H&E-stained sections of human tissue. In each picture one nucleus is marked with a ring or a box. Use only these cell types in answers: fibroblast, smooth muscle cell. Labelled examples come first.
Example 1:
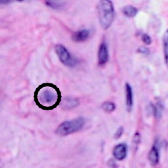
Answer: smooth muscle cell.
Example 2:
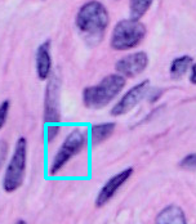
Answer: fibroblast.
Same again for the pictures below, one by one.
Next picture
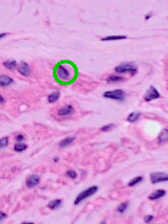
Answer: smooth muscle cell.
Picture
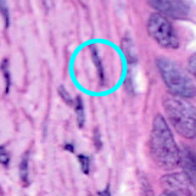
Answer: fibroblast.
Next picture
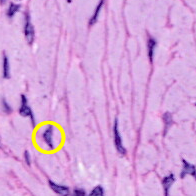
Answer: fibroblast.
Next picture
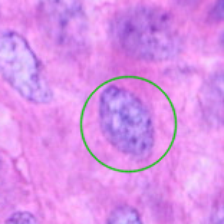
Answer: fibroblast.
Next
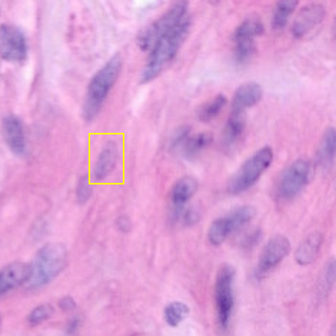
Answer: smooth muscle cell.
